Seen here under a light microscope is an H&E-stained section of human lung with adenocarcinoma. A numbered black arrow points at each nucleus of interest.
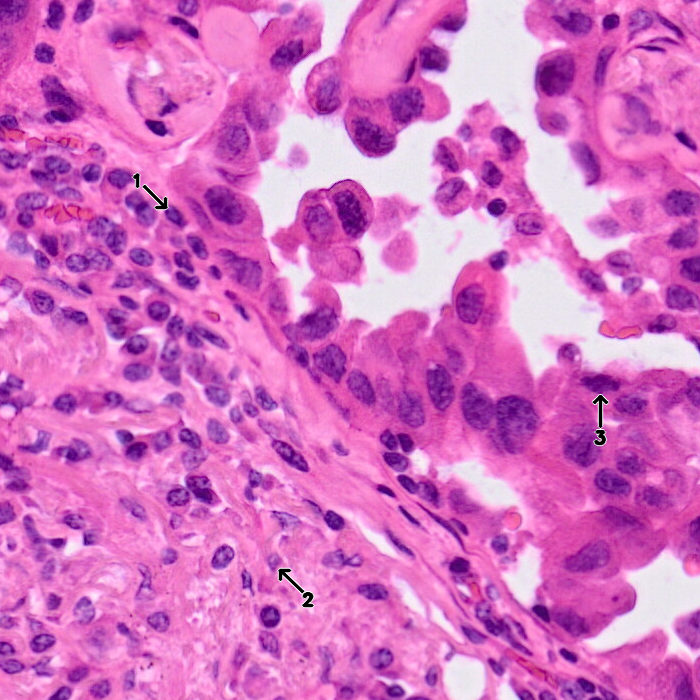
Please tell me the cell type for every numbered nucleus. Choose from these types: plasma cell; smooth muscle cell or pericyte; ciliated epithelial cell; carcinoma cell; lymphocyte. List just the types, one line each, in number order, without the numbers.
lymphocyte
plasma cell
carcinoma cell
